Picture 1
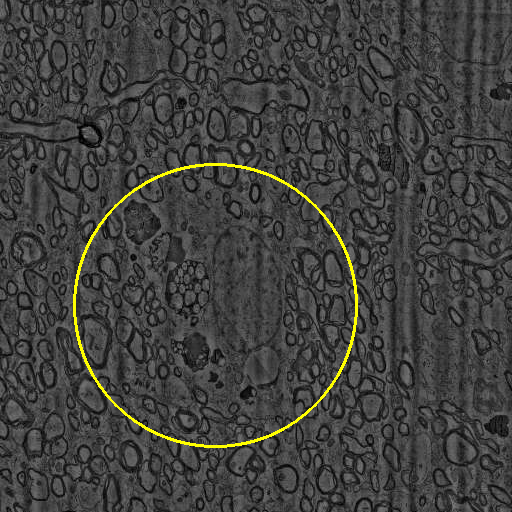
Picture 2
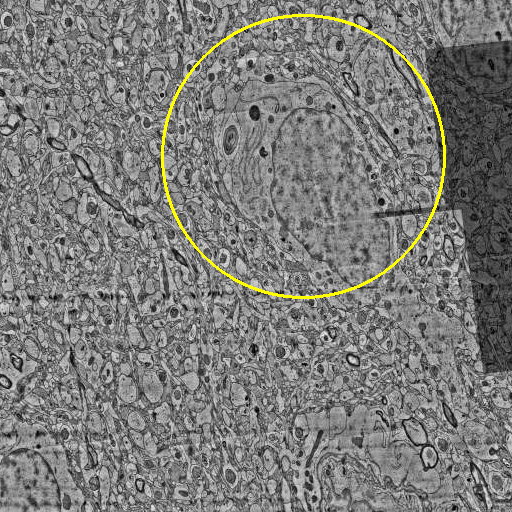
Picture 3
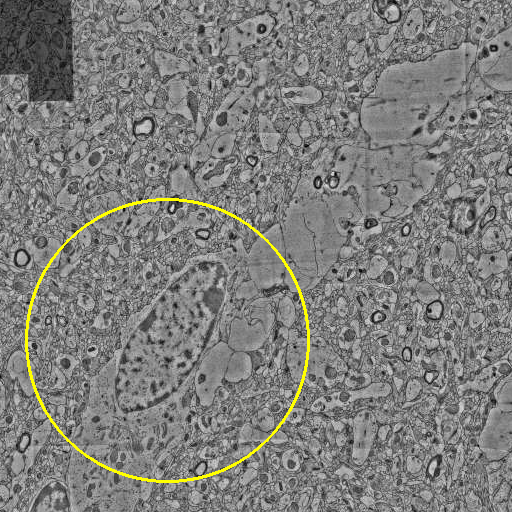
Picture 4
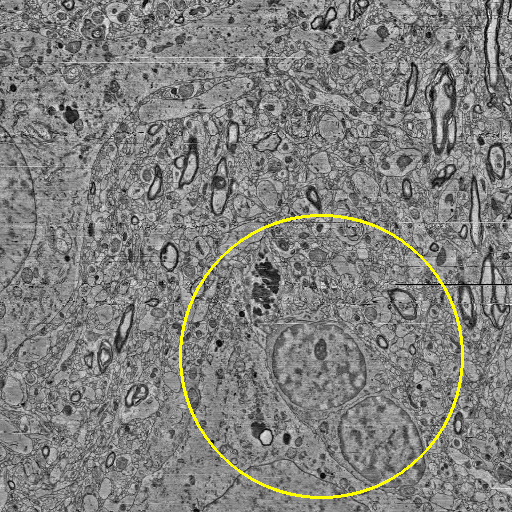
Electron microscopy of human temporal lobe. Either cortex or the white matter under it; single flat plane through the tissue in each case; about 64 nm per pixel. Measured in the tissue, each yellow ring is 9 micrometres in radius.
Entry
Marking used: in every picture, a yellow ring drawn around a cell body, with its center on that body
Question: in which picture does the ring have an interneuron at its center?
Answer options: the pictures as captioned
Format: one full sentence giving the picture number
Picture 2 is where the ring's center falls on the requested cell.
